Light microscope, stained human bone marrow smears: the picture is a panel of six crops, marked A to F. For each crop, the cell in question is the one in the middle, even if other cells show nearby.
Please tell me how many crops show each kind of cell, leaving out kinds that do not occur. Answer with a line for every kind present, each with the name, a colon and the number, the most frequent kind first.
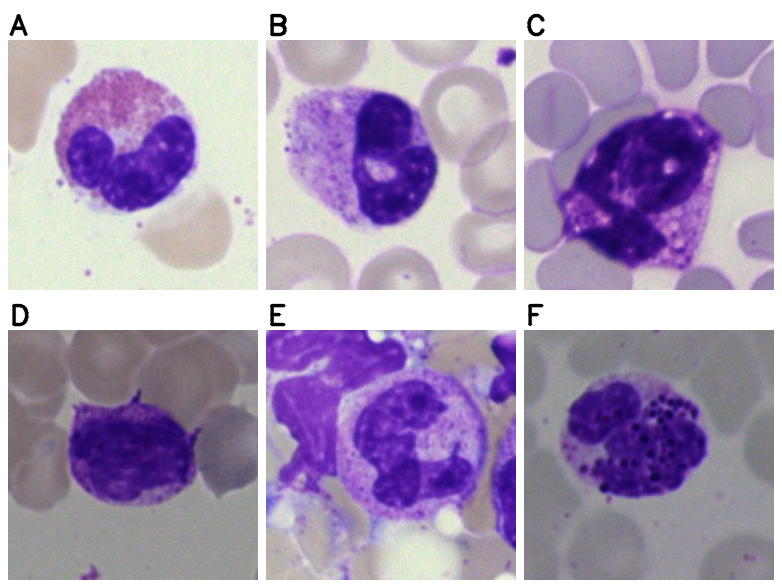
basophil: 4
segmented neutrophil: 2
